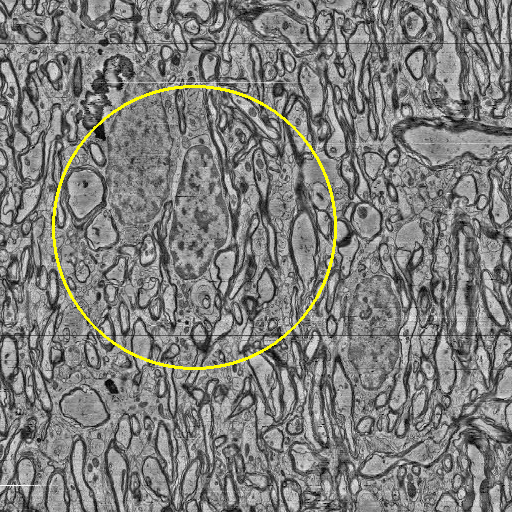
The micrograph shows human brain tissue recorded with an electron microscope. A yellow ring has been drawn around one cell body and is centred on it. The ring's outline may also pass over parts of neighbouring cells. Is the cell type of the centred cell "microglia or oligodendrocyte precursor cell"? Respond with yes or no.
yes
